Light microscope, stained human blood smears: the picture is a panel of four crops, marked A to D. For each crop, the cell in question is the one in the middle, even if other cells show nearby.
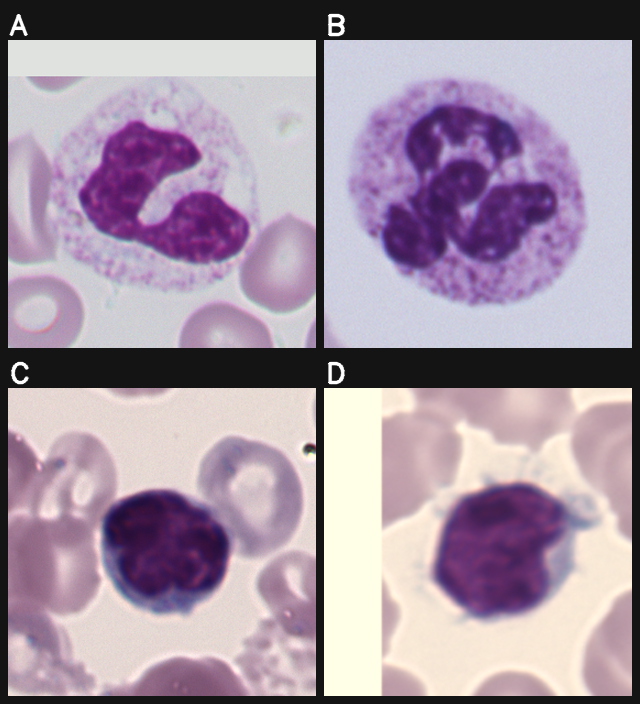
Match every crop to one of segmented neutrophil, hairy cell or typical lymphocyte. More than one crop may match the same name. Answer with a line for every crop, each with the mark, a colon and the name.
A: segmented neutrophil
B: segmented neutrophil
C: typical lymphocyte
D: hairy cell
